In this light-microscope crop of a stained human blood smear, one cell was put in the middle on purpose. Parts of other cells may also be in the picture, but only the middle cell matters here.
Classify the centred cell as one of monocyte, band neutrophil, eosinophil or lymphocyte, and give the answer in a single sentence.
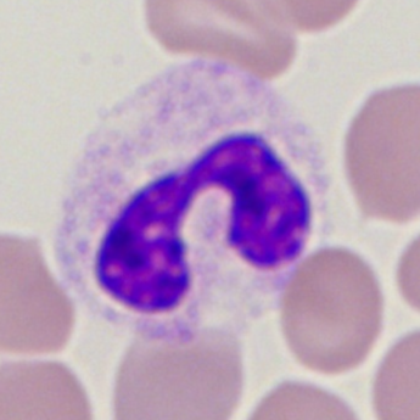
For this crop, the central cell is a band neutrophil.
